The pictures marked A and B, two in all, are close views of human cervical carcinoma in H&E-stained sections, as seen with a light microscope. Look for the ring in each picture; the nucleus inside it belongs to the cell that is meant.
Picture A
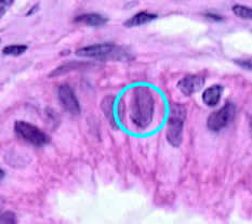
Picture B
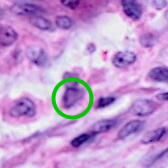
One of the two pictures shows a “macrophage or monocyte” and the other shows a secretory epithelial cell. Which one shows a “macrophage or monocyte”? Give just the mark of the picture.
B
